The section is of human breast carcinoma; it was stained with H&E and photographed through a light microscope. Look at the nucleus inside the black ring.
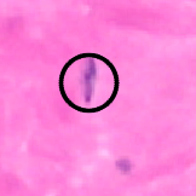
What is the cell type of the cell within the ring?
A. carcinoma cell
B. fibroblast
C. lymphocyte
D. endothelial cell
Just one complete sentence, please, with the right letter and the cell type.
Option B is the one to take: the cell within the ring is a fibroblast.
